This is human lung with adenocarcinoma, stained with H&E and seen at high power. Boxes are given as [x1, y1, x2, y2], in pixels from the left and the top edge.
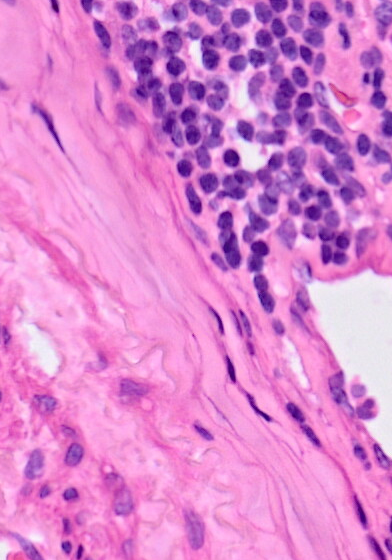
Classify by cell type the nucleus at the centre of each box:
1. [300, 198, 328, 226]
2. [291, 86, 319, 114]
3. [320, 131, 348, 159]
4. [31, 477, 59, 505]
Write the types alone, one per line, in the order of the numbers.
lymphocyte
lymphocyte
lymphocyte
smooth muscle cell or pericyte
